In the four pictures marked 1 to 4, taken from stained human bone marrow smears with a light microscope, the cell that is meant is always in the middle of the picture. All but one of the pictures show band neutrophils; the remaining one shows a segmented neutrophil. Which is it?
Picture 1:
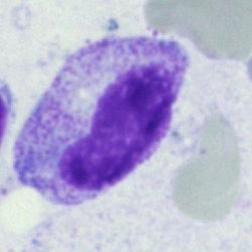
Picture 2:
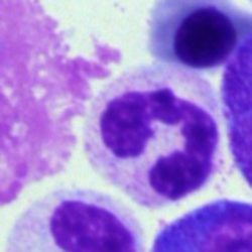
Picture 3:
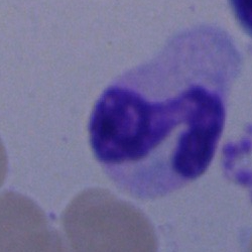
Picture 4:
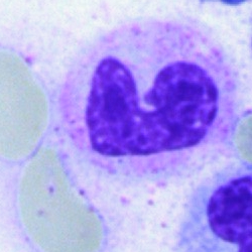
2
